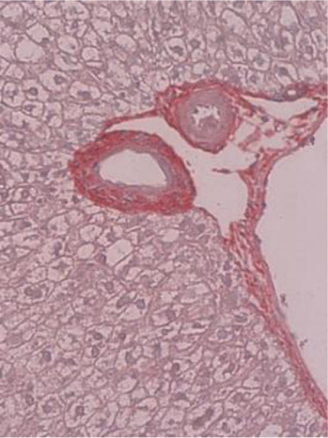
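A periportal area of liver in which two round vessels with thick, red-staining walls lie next to a larger thin-walled channel within a narrow band of connective tissue. The surrounding liver cells are large, pale and polygonal with faint outlines, arranged in plates, and few extra cells lie around the vessels.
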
